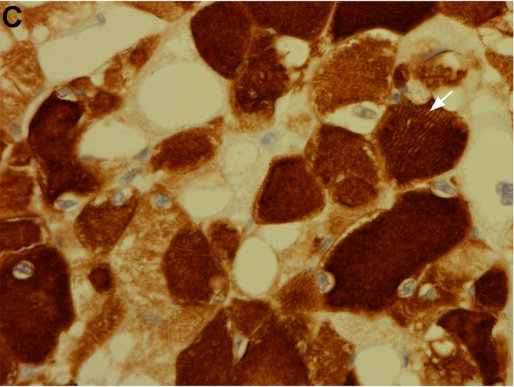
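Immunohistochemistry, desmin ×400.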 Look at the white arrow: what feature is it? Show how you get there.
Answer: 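The arrowed brown-stained cell shows fine parallel dark lines in its cytoplasm. The lines are regularly spaced across the cell. So: cross striations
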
